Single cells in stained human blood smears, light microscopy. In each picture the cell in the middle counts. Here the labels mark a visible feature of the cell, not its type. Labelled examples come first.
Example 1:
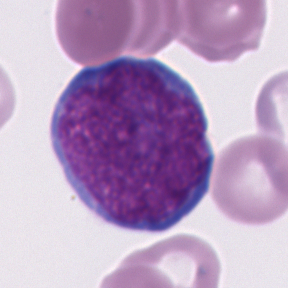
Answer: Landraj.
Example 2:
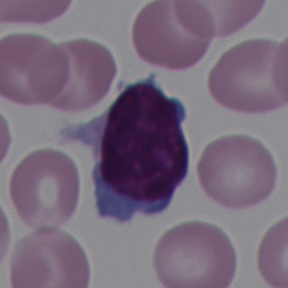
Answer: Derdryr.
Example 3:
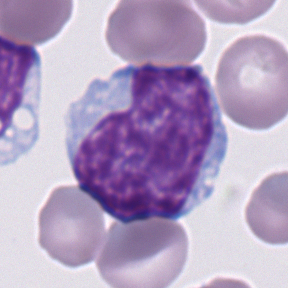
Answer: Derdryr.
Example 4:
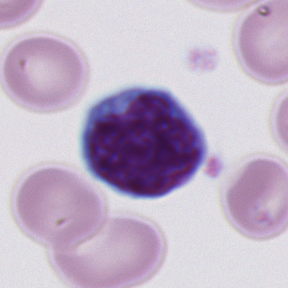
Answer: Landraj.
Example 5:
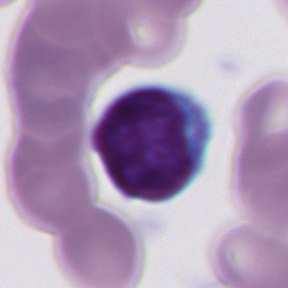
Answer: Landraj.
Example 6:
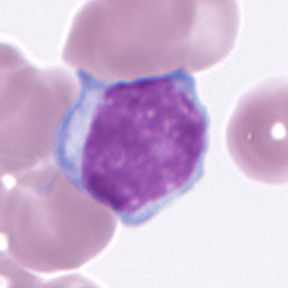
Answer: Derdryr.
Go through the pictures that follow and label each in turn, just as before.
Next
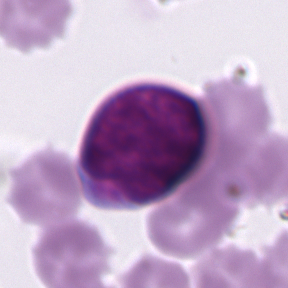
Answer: Landraj.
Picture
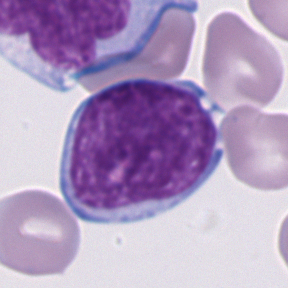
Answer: Landraj.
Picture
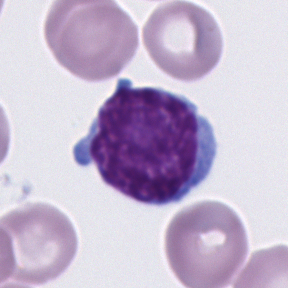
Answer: Derdryr.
